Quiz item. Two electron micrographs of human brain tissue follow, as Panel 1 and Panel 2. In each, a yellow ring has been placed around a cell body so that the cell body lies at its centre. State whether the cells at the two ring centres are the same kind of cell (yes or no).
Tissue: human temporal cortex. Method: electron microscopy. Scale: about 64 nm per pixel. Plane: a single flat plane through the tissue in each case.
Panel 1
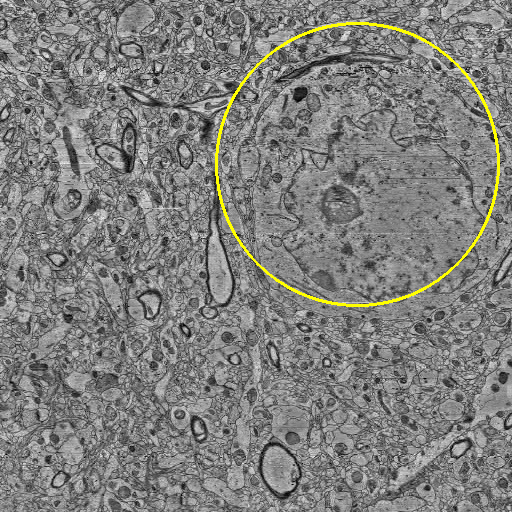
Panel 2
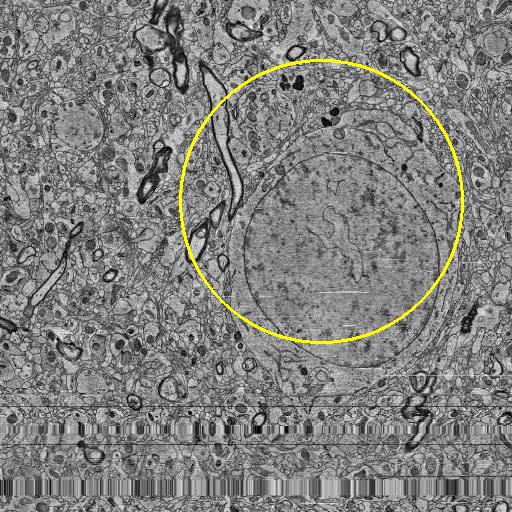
no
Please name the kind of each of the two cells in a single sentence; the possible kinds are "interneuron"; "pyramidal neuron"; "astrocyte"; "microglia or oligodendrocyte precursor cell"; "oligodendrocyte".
In the first picture the ring is centred on an interneuron, and in the second on a pyramidal neuron.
